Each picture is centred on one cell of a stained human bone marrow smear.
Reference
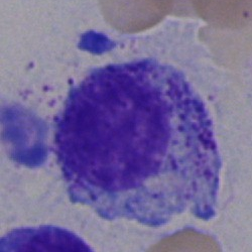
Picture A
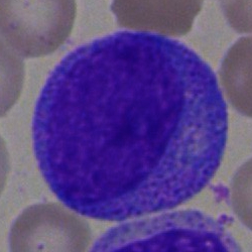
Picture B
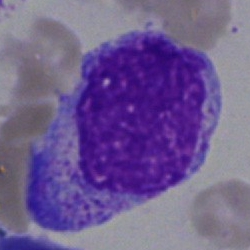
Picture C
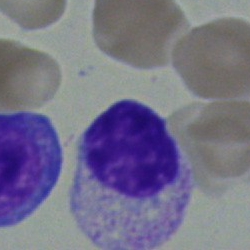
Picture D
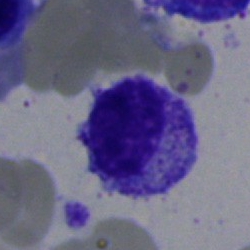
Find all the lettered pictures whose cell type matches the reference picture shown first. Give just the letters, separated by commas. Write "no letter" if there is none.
C, D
